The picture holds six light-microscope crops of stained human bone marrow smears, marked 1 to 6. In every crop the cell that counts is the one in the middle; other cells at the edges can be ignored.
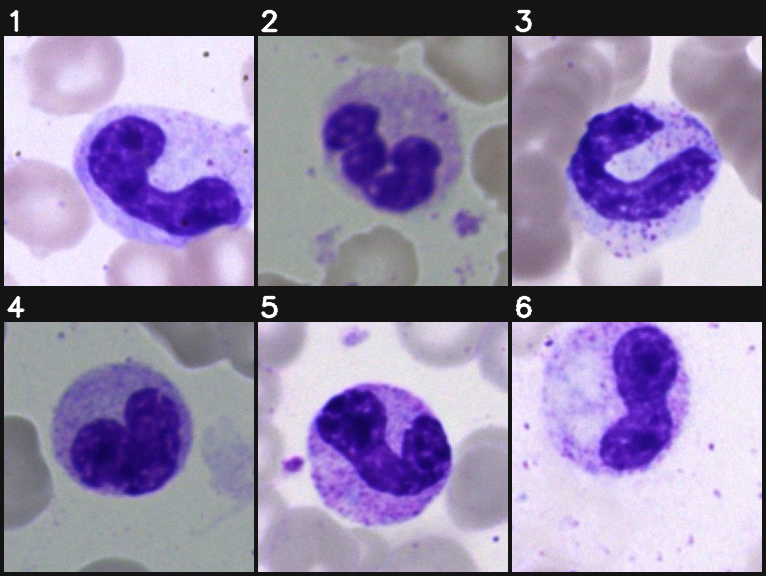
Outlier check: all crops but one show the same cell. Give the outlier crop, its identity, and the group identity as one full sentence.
The crop that differs is crop 2, showing a segmented neutrophil; the others show band neutrophils.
